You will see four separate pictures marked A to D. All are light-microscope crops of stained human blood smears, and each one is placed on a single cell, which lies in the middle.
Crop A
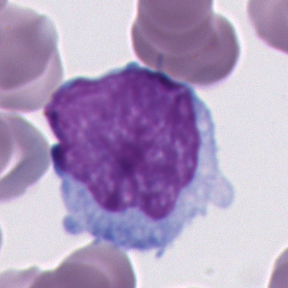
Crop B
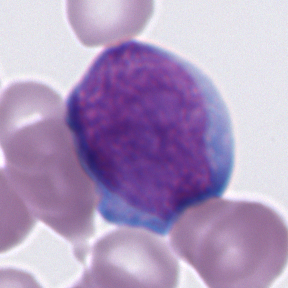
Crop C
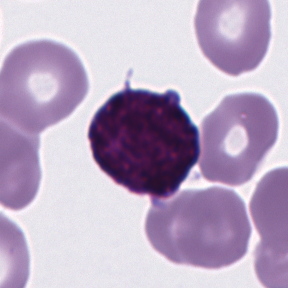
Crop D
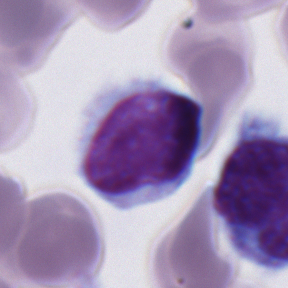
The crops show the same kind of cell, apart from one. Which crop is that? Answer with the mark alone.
D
